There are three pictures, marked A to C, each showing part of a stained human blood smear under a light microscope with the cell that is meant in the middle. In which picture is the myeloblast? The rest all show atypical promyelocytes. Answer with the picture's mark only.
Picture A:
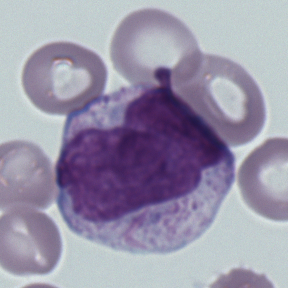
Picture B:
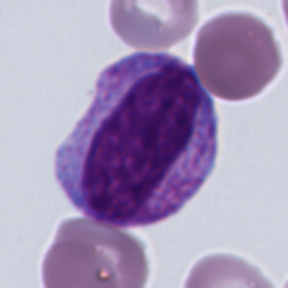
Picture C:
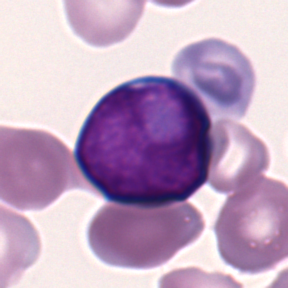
C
